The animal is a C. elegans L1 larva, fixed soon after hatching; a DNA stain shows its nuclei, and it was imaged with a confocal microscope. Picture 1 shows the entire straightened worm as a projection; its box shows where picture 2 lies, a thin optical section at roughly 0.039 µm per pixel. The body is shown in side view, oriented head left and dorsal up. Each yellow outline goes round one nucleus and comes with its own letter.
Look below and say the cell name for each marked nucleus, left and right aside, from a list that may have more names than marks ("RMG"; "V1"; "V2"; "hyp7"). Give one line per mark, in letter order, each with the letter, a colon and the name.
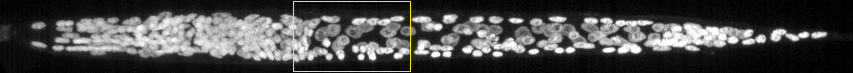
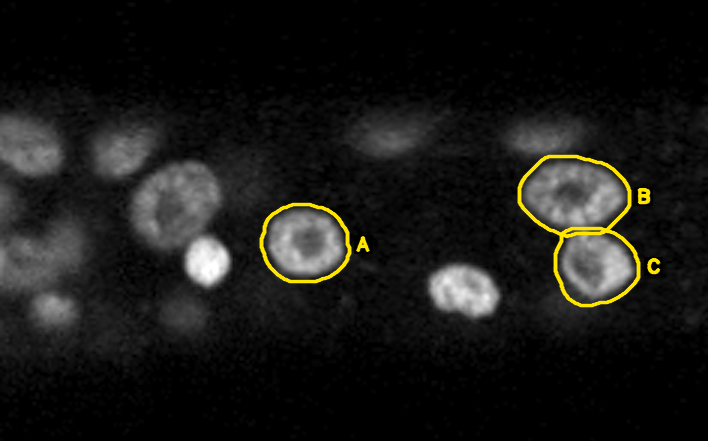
A: V1
B: hyp7
C: V2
